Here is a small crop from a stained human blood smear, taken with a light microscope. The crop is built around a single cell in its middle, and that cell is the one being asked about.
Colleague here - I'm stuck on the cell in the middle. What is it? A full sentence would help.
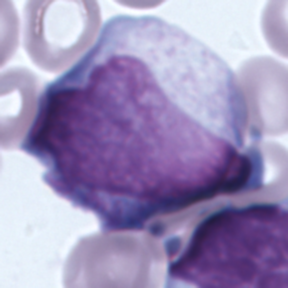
The cell sitting right in the middle is a promyelocyte.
